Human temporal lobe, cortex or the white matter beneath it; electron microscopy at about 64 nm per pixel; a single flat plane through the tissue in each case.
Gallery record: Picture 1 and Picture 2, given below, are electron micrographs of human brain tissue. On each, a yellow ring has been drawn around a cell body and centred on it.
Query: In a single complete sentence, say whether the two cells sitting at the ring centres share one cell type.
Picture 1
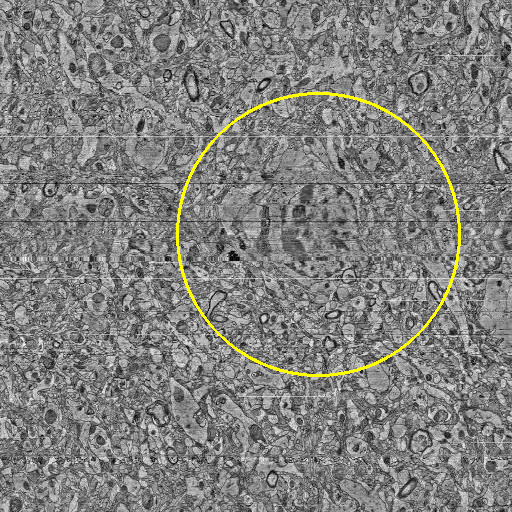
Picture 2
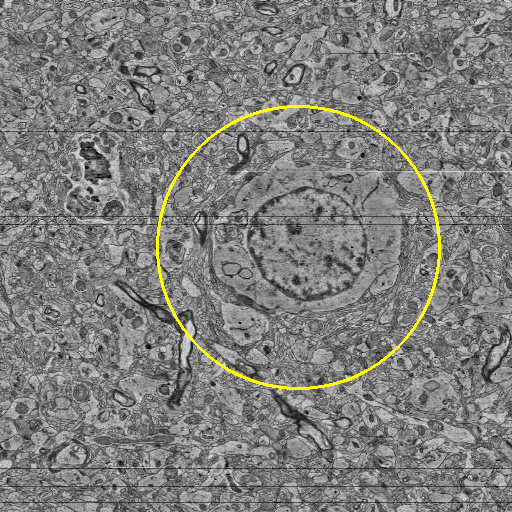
No, in the two pictures the cells at the rings' centres are of two separate types.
